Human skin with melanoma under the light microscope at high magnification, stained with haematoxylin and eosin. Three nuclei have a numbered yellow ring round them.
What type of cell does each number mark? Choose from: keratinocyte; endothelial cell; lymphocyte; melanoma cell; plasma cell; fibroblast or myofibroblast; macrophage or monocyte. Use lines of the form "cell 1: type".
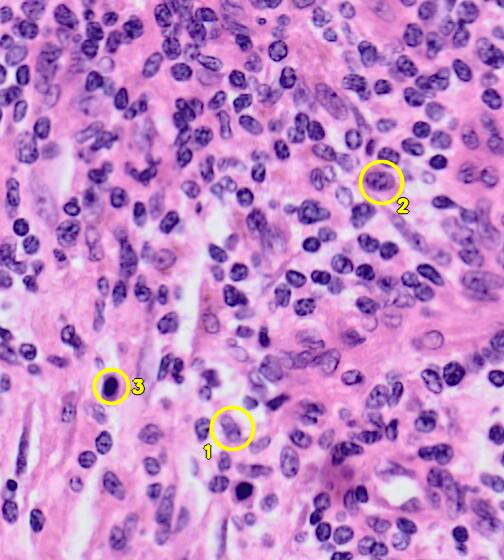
cell 1: macrophage or monocyte
cell 2: macrophage or monocyte
cell 3: plasma cell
